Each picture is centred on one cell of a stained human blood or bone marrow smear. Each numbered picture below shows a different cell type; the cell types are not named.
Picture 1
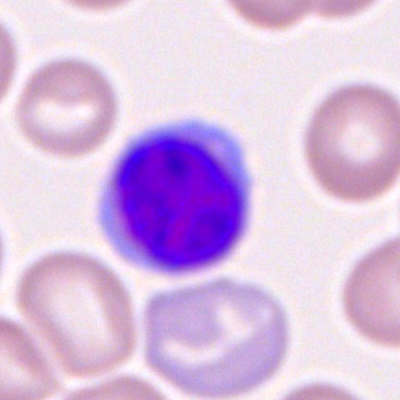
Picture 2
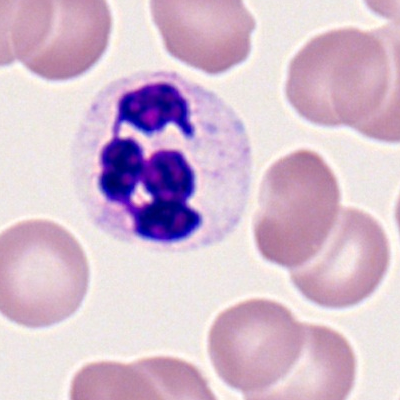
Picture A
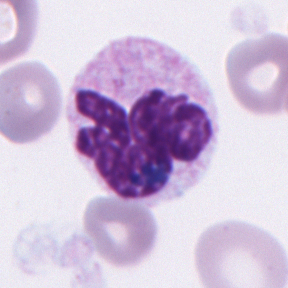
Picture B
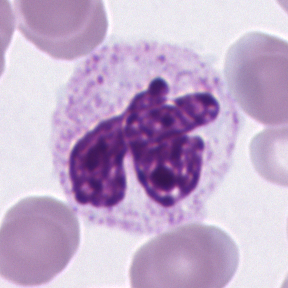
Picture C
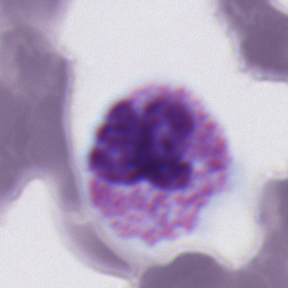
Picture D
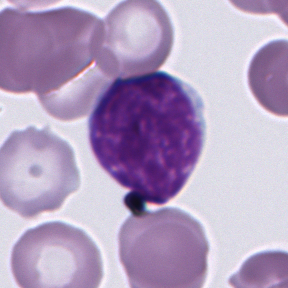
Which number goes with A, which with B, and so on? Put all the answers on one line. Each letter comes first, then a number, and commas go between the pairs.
A 2, B 2, C 2, D 1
